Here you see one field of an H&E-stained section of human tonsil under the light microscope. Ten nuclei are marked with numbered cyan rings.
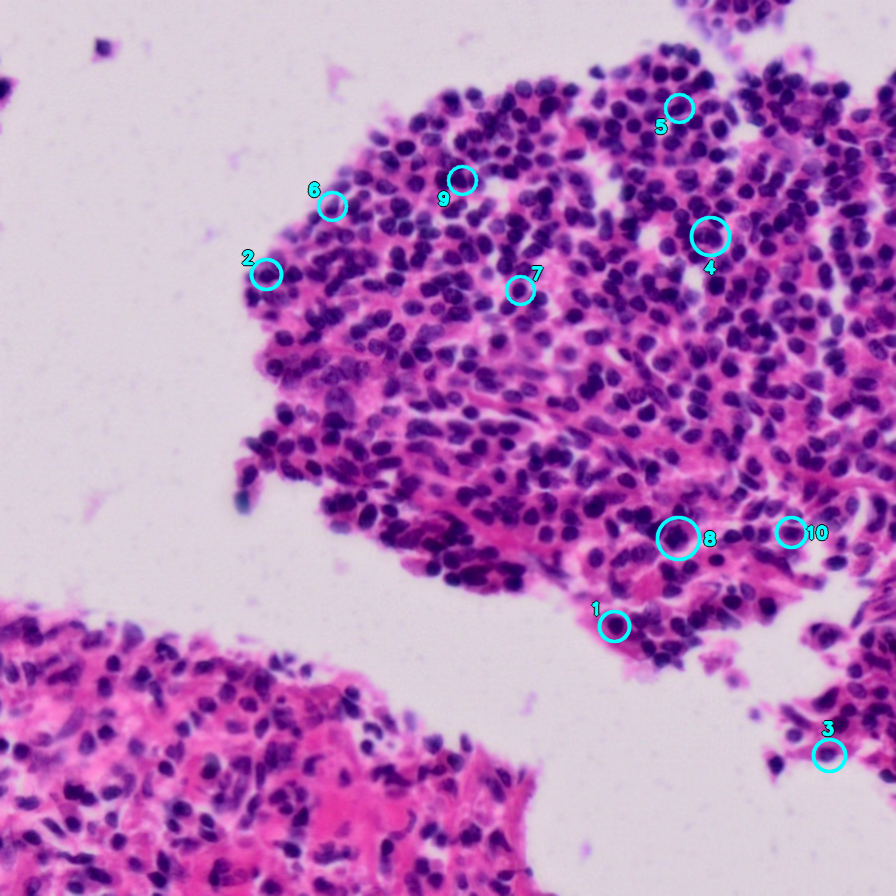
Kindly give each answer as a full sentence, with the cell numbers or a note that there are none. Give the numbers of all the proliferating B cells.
Only cell 8 should be marked as a proliferating B cell.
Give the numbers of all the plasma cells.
Cells 1, 3 and 10 are classified as plasma cells.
